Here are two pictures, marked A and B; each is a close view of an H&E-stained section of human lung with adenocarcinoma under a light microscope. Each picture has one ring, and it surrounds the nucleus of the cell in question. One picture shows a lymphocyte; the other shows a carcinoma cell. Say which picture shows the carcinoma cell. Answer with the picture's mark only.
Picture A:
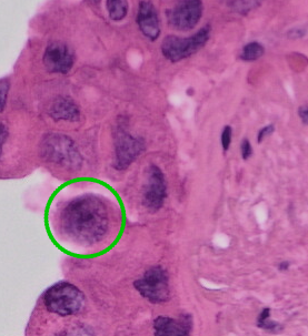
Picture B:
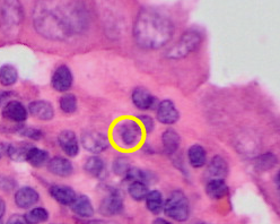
A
